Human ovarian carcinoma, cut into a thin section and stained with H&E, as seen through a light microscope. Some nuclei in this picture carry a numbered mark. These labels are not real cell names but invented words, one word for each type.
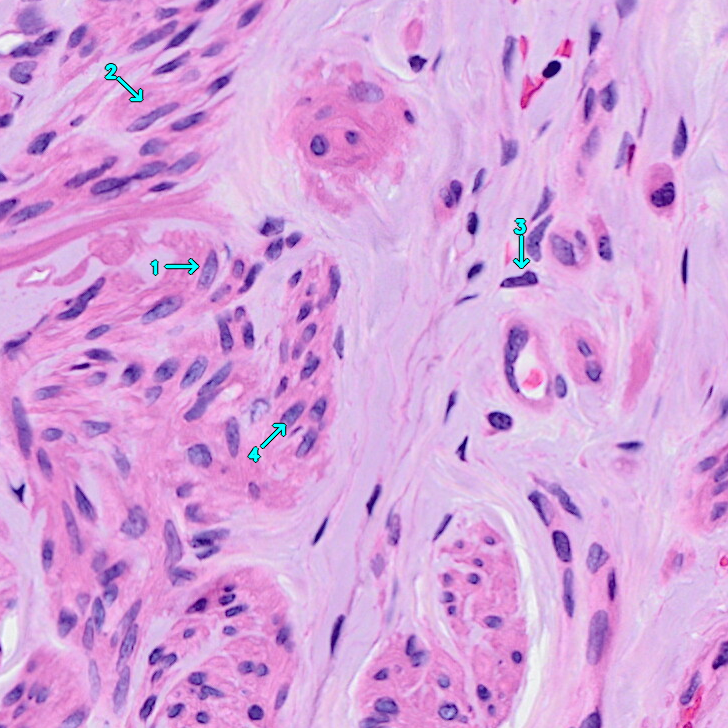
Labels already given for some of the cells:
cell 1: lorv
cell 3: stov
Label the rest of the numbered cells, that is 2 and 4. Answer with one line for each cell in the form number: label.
2: lorv
4: lorv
